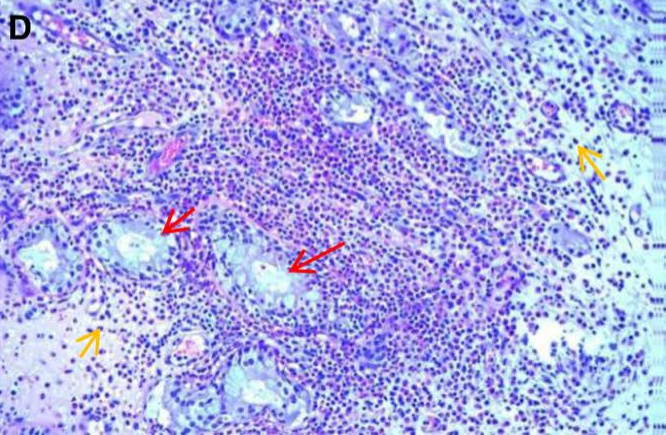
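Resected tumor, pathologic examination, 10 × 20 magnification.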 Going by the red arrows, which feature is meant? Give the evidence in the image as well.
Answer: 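Mucous glands. The arrows point at small glands lined by cells with pale, clear cytoplasm.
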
